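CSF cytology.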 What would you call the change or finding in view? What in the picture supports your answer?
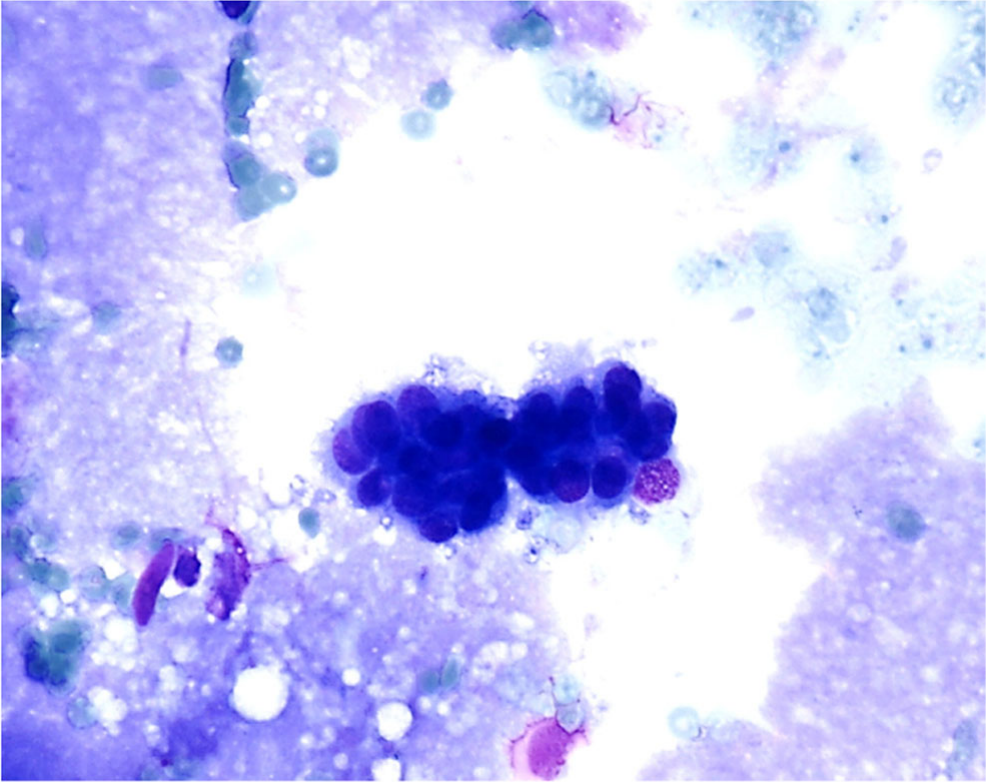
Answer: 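The nuclei of the clustered cells are dark purple and oval. Each nucleus fills most of its cell, leaving only a thin rim of pale cytoplasm.
Relatively high nuclear cytoplasmic ratios.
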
